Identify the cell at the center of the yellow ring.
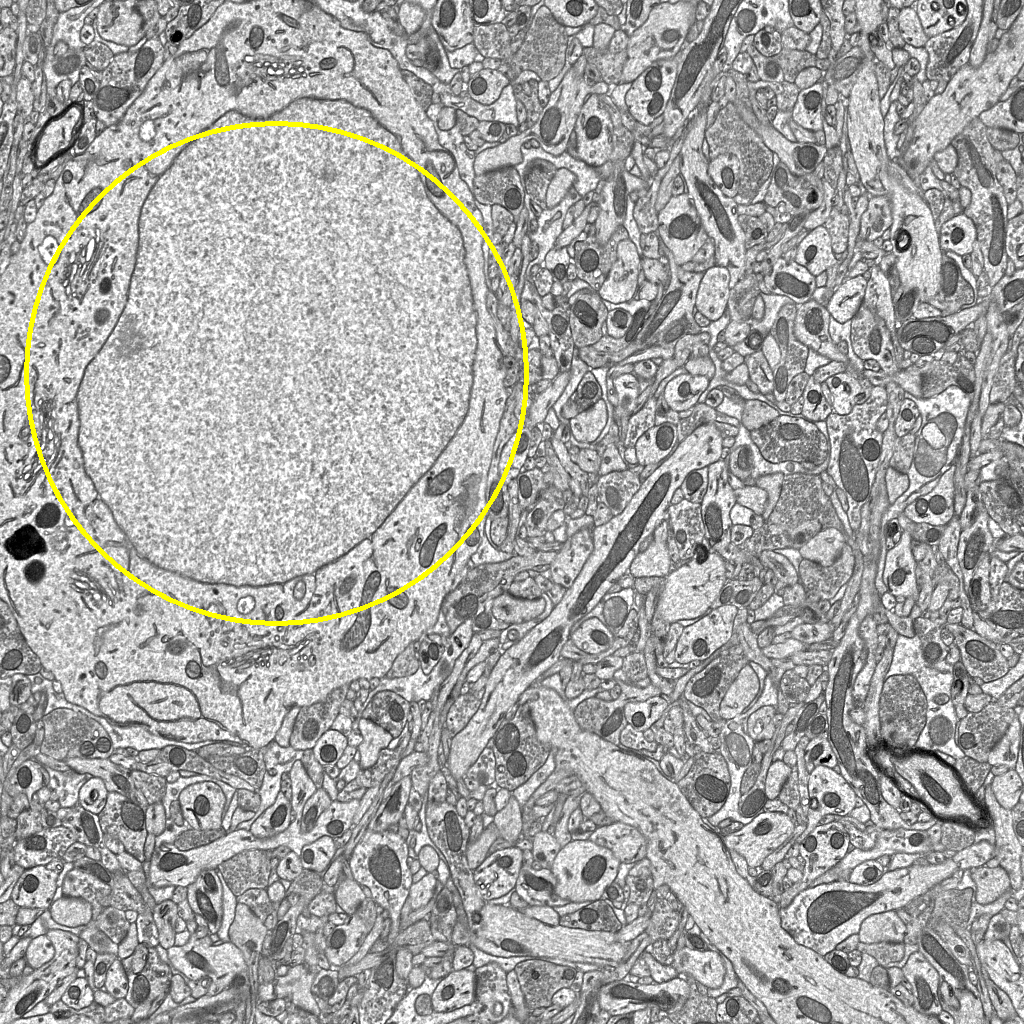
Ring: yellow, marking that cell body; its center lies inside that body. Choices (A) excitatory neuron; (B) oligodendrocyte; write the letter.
A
